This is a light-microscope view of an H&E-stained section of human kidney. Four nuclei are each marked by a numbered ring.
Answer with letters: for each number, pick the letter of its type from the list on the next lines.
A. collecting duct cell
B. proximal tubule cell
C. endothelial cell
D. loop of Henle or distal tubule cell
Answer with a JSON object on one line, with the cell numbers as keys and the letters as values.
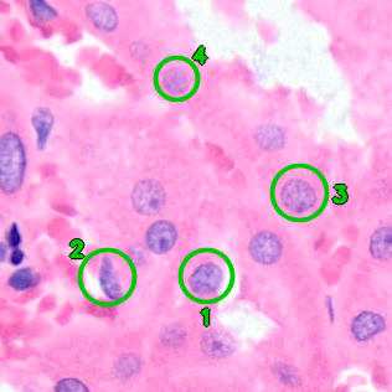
{"1": "B", "2": "C", "3": "B", "4": "B"}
